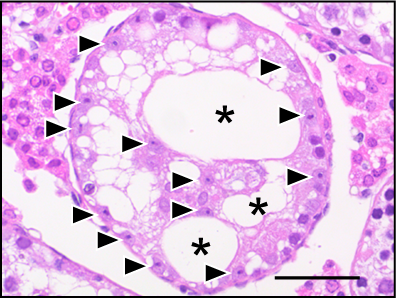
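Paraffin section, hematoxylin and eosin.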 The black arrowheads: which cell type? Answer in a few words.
Sertoli cells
